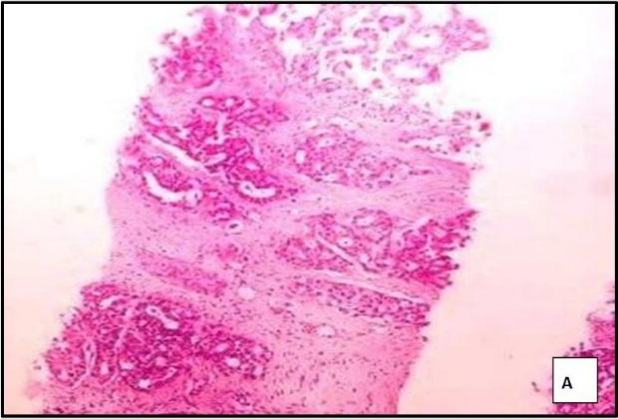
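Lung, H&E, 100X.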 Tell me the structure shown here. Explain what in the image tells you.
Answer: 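Acinar pattern. Nests of darker-staining cells contain small gland-like spaces. Nests lie within pale pink fibrous stroma.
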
